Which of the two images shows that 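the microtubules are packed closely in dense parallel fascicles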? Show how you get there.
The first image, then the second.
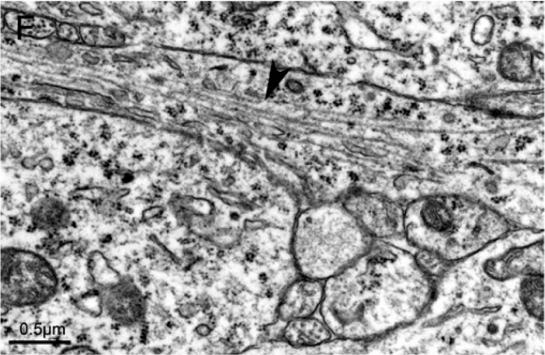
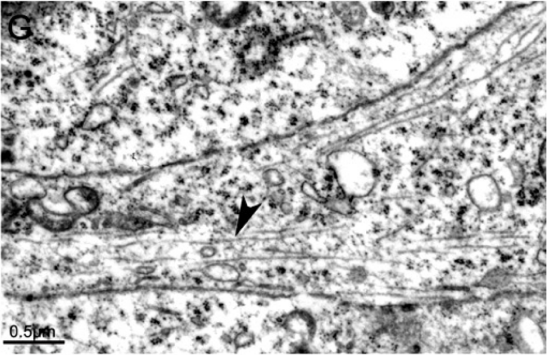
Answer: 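Second image: few parallel microtubules, widely spaced within the process. First image: many parallel microtubules tightly bundled along the process.
Answer: the first image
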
